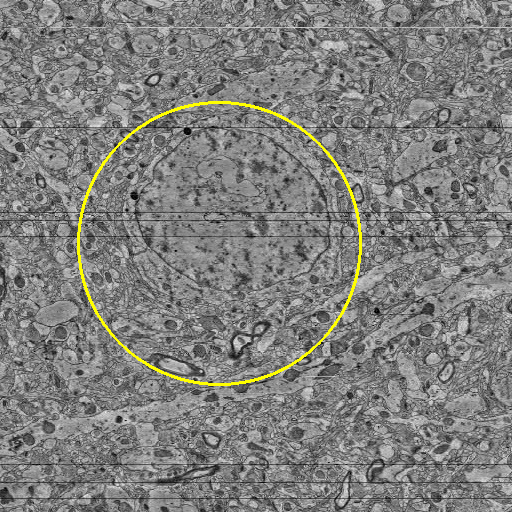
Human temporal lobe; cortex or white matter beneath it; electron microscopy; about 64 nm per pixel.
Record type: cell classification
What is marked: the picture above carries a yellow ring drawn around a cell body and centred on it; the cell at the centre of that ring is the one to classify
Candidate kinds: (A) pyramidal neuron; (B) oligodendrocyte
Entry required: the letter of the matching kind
A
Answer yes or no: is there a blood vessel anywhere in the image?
No, there is no blood vessel in the image.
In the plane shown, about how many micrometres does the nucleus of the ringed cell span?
The nucleus appears roughly 13 by 11 micrometres in this plane.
